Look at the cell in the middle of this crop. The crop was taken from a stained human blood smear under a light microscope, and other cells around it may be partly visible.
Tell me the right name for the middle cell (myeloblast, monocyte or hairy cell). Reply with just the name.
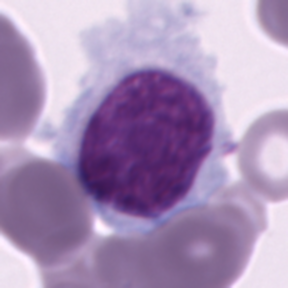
hairy cell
